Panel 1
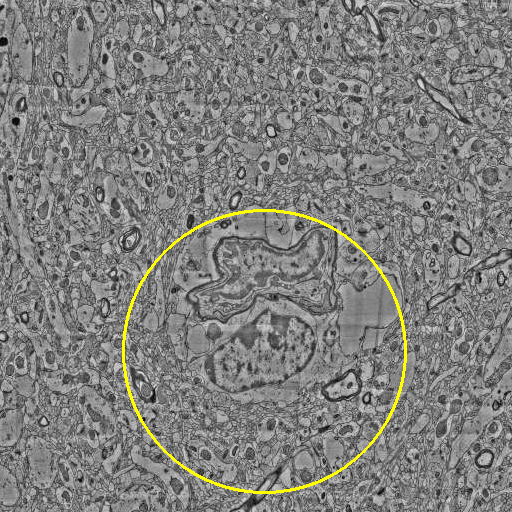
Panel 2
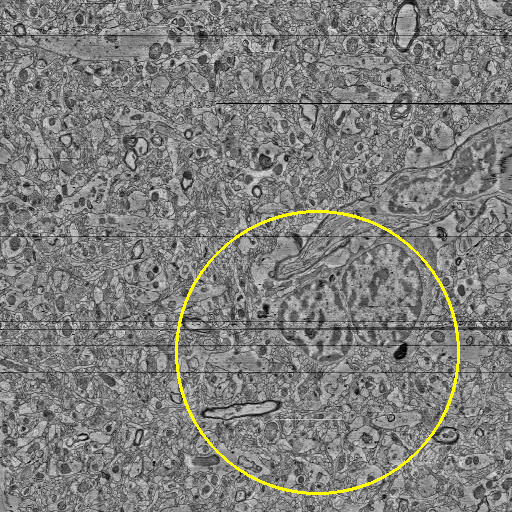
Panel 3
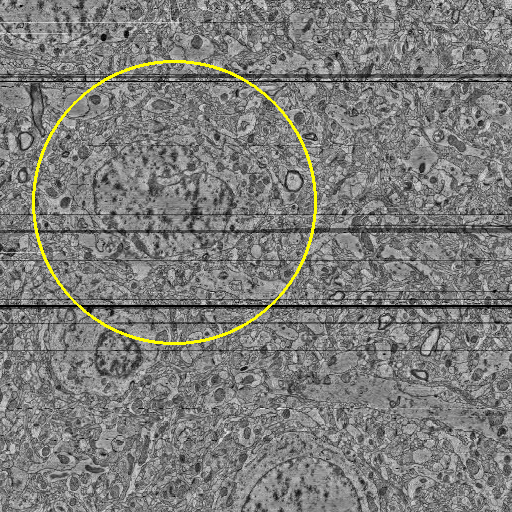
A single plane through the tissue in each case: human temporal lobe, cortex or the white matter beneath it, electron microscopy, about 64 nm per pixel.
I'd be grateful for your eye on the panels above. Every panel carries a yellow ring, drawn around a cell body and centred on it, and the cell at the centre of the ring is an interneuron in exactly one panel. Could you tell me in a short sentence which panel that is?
Panel 3 is the one with it at the centre of the ring.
